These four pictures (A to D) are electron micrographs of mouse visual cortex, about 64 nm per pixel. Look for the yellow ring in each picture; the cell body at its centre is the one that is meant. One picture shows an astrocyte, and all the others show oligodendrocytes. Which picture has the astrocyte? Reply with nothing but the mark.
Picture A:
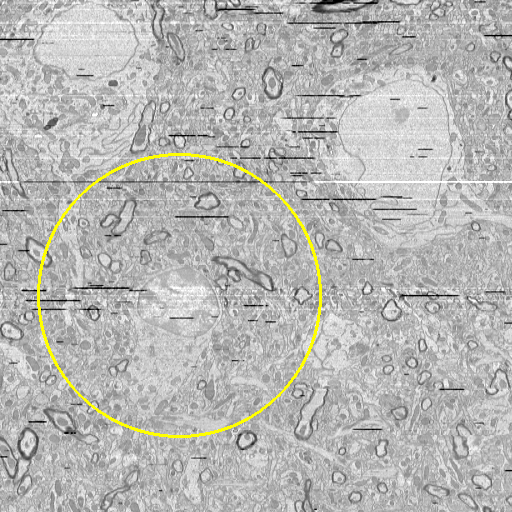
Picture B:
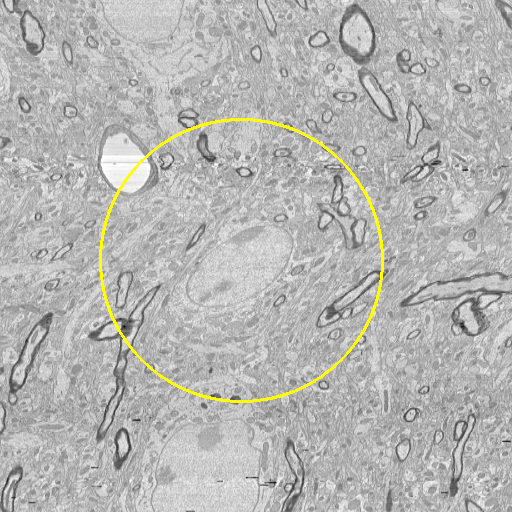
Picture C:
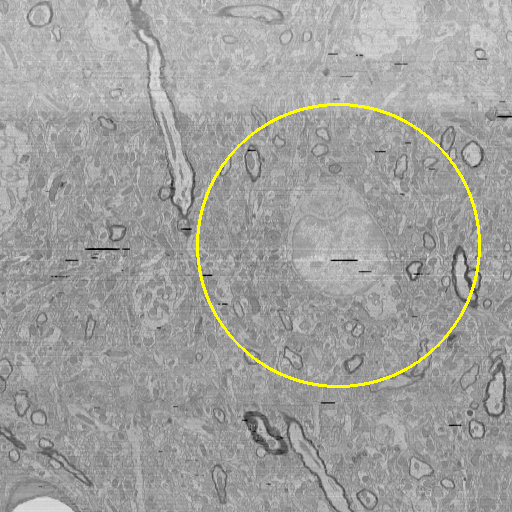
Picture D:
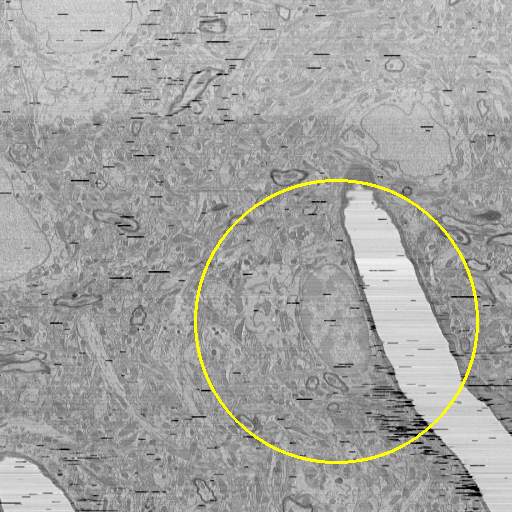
B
